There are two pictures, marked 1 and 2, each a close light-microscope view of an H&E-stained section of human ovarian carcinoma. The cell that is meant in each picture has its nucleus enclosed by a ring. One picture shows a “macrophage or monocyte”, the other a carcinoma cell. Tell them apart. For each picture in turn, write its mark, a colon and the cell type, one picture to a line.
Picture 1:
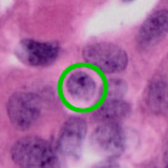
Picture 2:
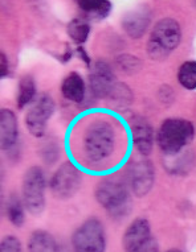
1: macrophage or monocyte
2: carcinoma cell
